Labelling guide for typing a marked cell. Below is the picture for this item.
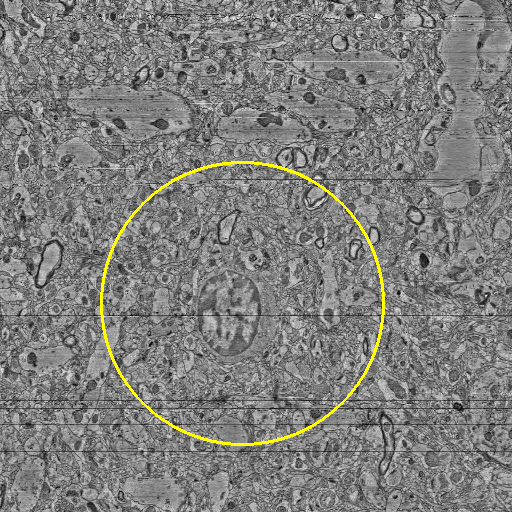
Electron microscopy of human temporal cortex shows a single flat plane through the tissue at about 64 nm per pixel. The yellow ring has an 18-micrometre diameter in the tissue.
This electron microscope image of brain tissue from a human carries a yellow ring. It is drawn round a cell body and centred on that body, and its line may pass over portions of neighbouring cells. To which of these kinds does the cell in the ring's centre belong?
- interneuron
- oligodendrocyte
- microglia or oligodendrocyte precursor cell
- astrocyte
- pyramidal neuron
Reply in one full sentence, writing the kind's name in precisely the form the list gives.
Here we have an oligodendrocyte at the centre of the yellow ring in the picture.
